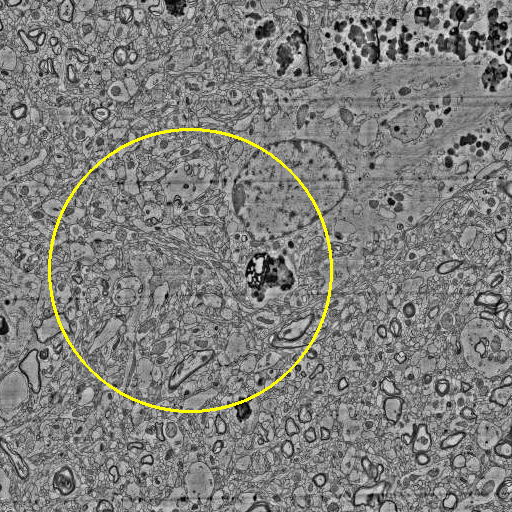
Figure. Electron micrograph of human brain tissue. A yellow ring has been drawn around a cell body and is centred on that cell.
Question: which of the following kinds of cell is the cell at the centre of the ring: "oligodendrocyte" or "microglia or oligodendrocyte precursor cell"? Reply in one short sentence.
The cell at the centre of the ring is an oligodendrocyte.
